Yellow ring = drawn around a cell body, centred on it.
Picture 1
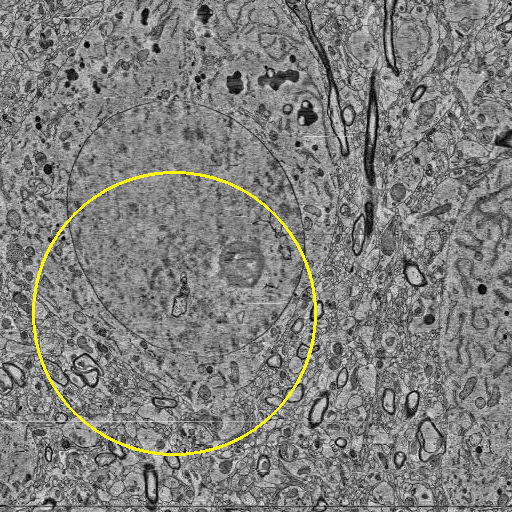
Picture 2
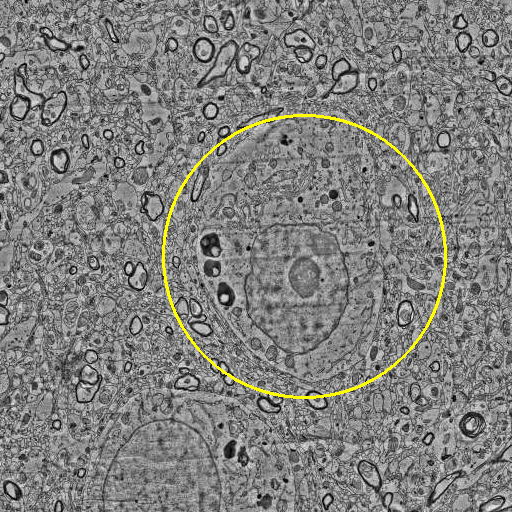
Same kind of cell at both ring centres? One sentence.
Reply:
Yes, they are the same kind of cell.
